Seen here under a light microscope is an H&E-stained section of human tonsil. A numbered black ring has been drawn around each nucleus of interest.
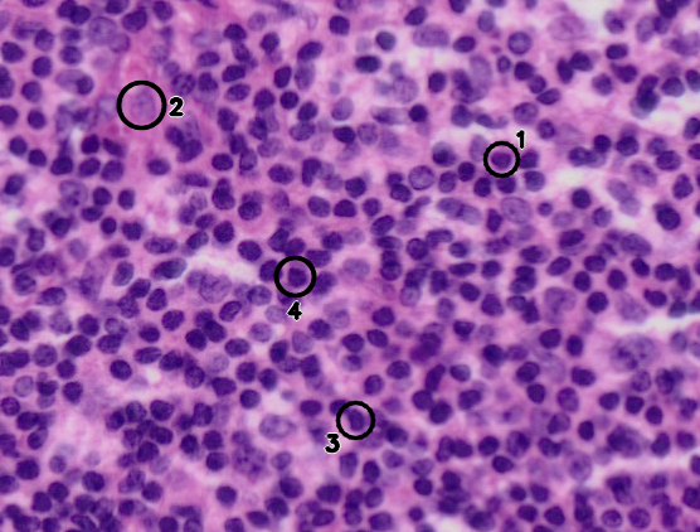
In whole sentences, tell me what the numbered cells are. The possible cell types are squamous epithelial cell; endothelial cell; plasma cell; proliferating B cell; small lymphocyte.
Cell 1 is a small lymphocyte, cell 2 is an endothelial cell, cell 3 is a small lymphocyte and cell 4 is a small lymphocyte.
